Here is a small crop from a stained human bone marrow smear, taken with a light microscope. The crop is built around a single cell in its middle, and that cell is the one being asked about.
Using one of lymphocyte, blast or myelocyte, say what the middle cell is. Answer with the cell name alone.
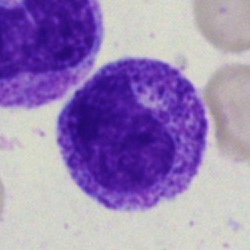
myelocyte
